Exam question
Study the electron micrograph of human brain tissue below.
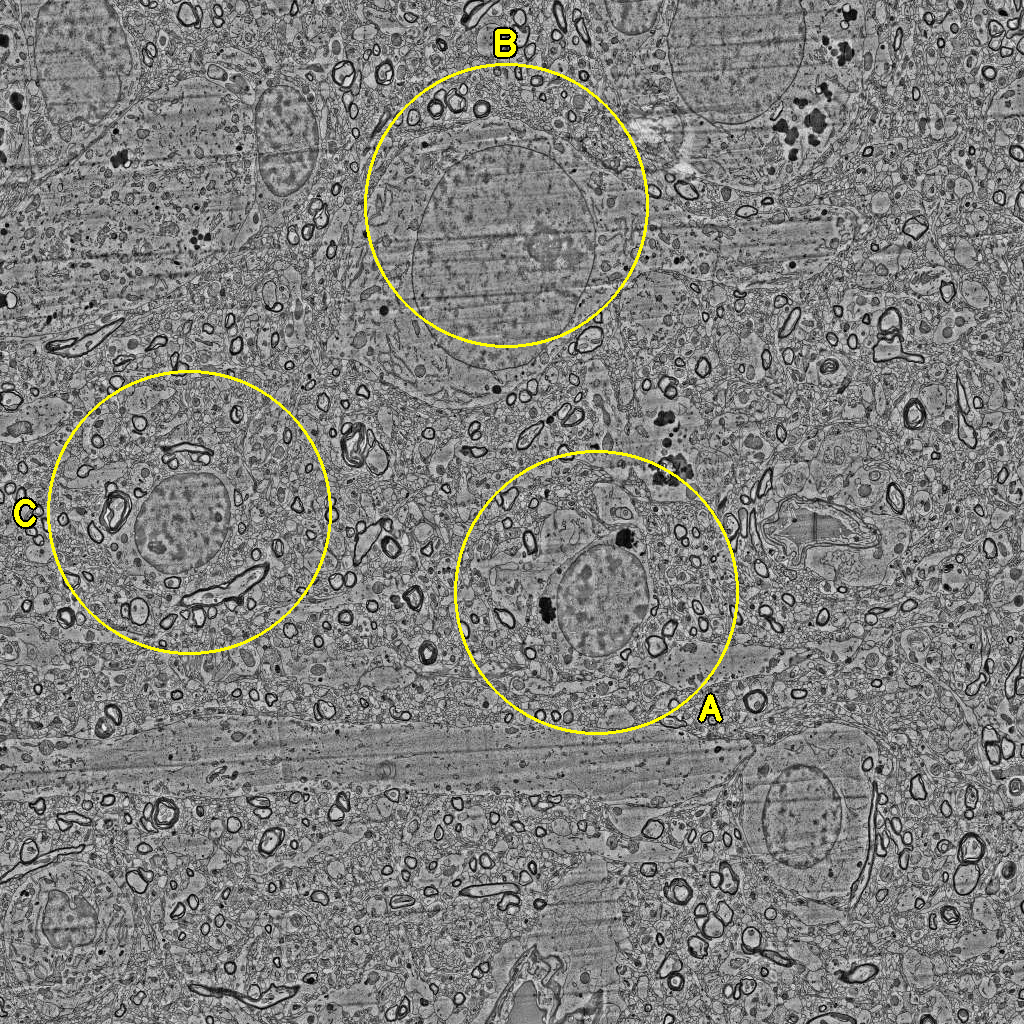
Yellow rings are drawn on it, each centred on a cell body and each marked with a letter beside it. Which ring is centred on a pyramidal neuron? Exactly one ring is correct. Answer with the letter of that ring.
B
